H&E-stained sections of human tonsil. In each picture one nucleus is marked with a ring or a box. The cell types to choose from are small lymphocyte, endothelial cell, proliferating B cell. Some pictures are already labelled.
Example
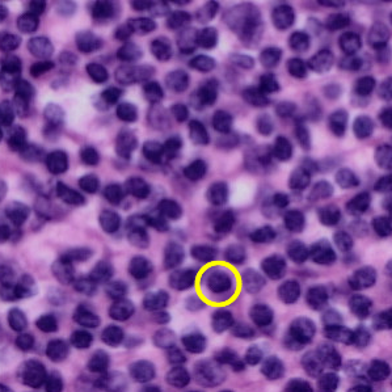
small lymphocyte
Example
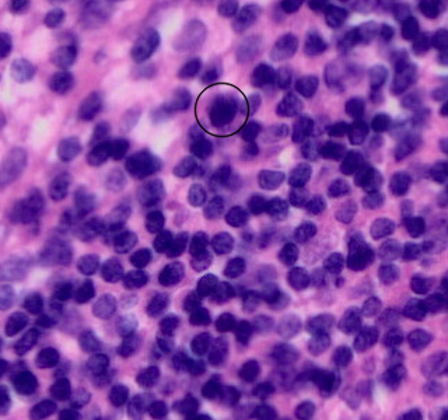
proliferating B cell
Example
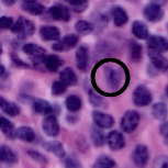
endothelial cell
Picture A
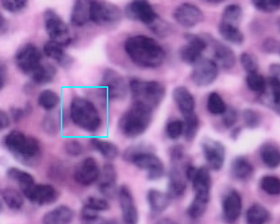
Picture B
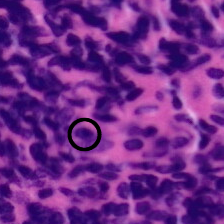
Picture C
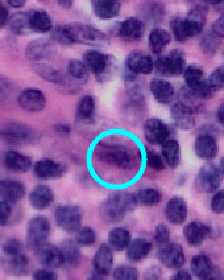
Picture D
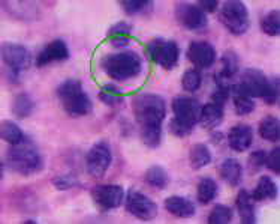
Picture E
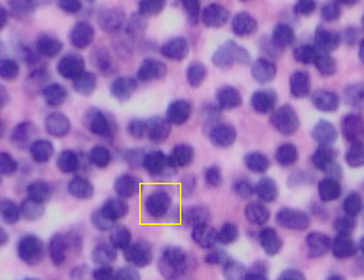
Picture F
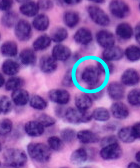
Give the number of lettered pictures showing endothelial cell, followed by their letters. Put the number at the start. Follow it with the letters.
Count: 2 (B, C)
